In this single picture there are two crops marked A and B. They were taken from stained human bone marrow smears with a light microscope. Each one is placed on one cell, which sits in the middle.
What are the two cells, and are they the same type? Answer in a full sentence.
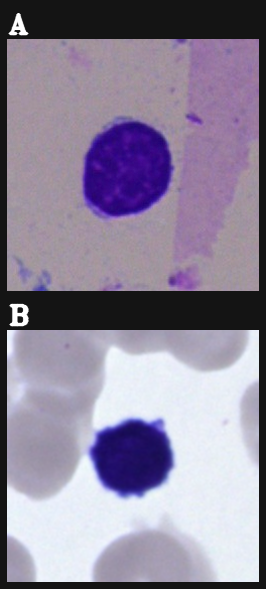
Yes, the cells in the centres of the two crops are lymphocytes.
